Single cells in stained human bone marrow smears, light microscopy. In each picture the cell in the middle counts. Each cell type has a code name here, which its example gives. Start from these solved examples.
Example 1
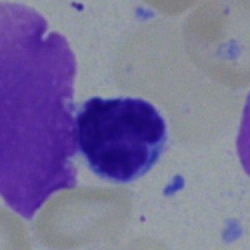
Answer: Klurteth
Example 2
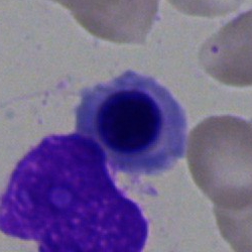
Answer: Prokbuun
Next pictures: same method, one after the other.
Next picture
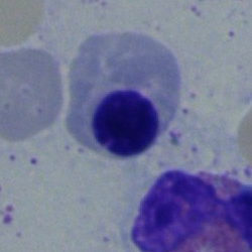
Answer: Prokbuun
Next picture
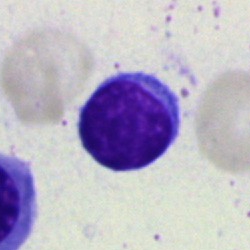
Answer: Klurteth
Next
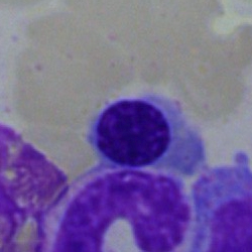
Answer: Prokbuun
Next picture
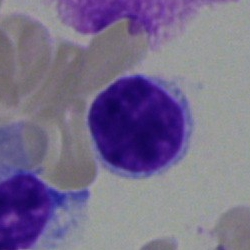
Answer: Klurteth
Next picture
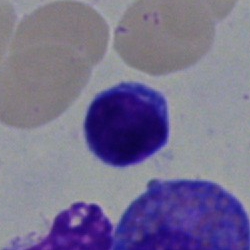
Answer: Klurteth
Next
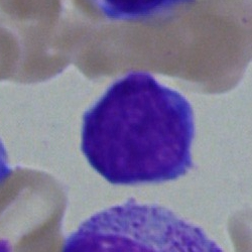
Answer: Klurteth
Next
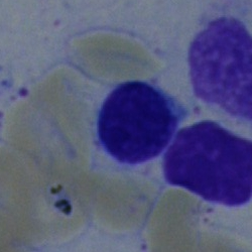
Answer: Klurteth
